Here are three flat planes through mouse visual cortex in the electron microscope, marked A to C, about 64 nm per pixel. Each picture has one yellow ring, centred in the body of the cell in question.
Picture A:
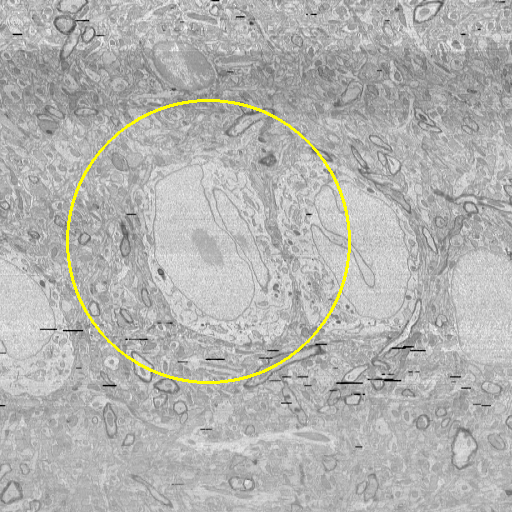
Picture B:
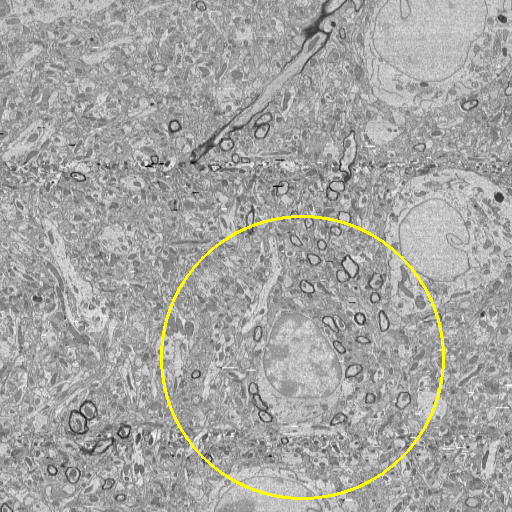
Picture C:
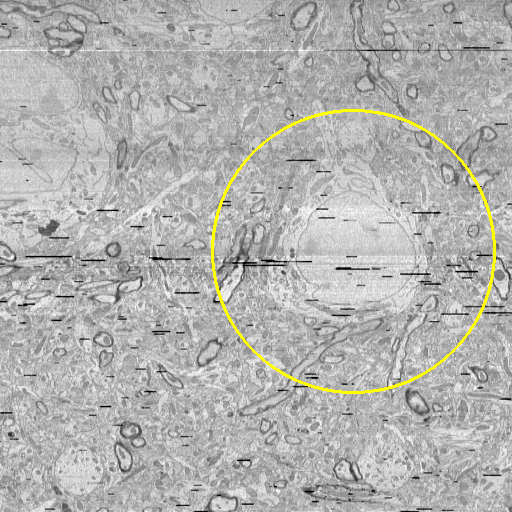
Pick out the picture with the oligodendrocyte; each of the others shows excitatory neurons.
The picture with the oligodendrocyte is B.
